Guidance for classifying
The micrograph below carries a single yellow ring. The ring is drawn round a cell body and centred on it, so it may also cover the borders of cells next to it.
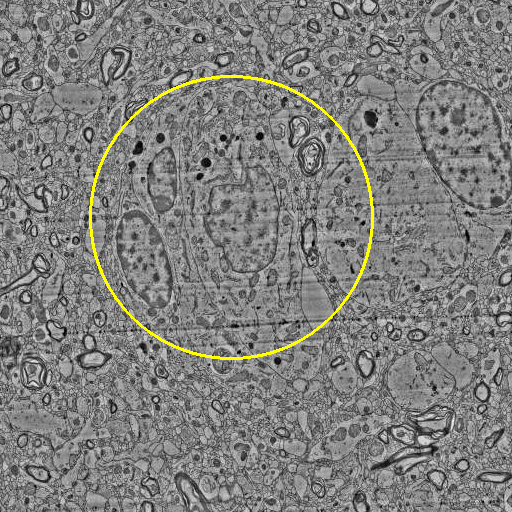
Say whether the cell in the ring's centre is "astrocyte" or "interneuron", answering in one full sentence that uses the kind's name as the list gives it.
Within the yellow ring, an interneuron is the cell whose body sits at the centre.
